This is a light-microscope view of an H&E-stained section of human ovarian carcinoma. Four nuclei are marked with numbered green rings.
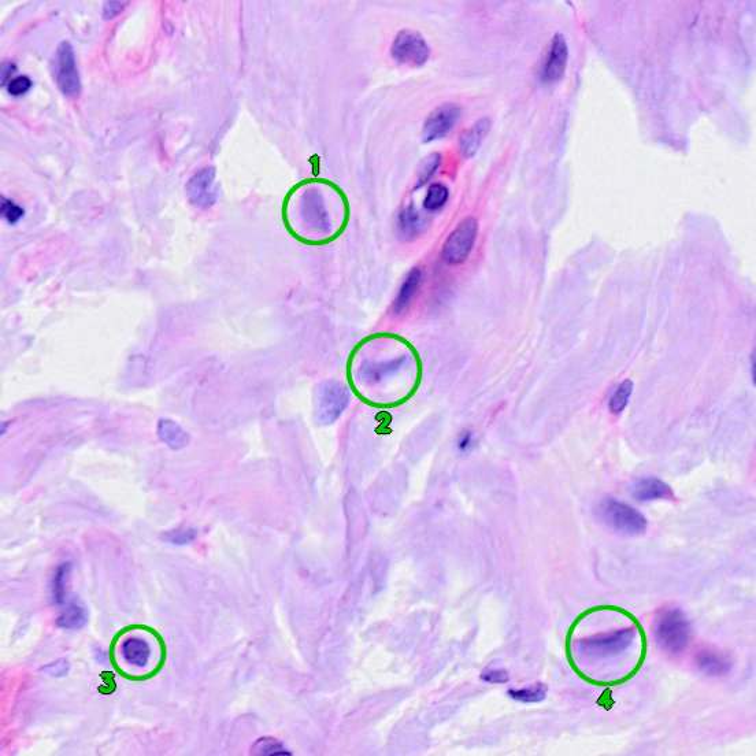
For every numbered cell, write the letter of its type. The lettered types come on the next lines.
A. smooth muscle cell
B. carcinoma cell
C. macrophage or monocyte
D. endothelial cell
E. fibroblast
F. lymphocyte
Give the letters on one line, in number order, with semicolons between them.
E; E; F; E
